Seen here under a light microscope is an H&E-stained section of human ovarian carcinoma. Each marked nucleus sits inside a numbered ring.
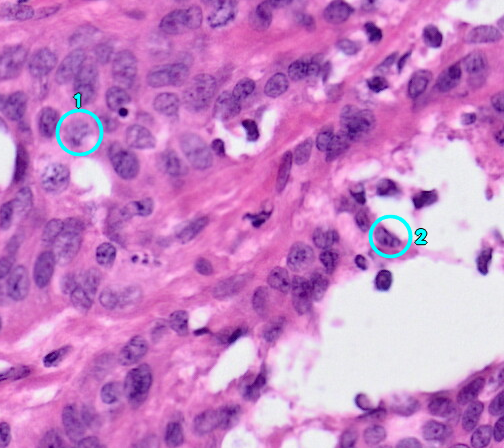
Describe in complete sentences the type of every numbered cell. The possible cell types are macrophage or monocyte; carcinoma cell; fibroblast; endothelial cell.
Cell 1 is a carcinoma cell. Cell 2 is a macrophage or monocyte.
